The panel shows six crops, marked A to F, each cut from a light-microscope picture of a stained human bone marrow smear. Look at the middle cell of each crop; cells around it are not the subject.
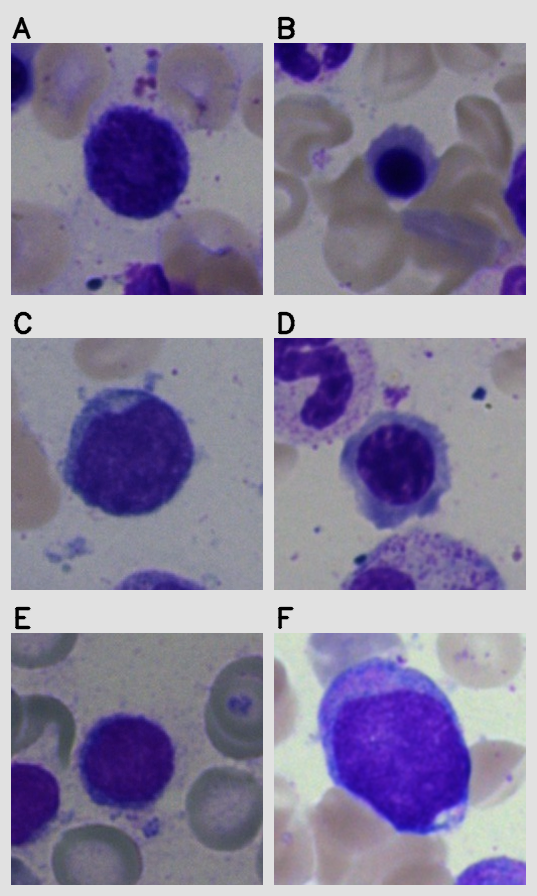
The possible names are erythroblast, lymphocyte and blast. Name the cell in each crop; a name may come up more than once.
A: lymphocyte
B: erythroblast
C: blast
D: erythroblast
E: lymphocyte
F: blast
